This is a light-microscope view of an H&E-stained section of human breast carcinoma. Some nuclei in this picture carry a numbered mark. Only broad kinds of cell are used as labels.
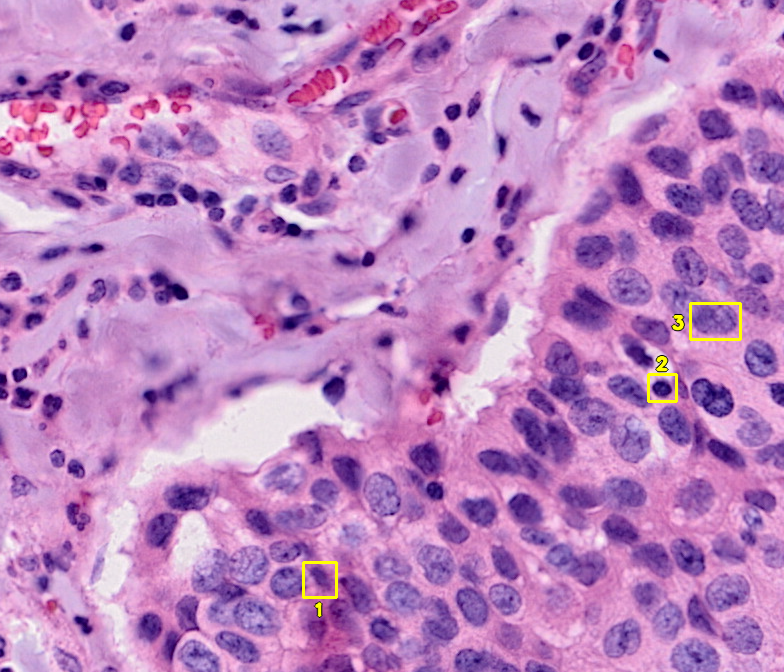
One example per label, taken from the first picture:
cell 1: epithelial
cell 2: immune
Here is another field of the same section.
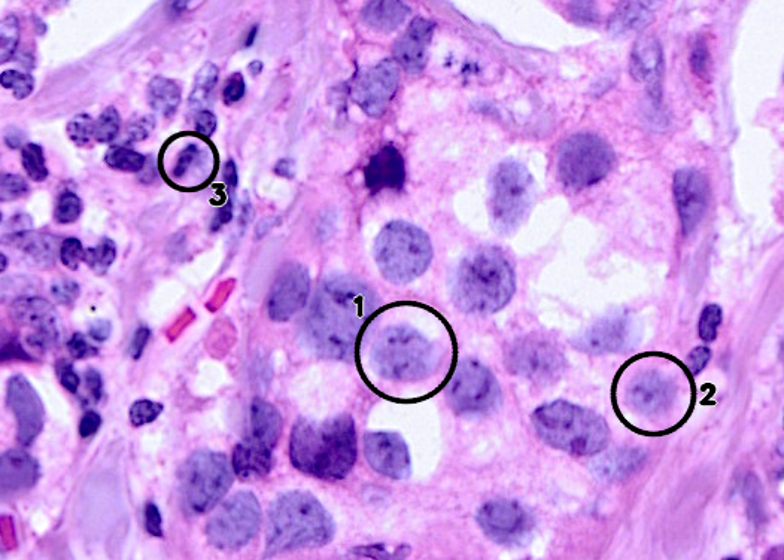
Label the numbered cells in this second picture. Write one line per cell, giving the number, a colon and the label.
1: epithelial
2: epithelial
3: immune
